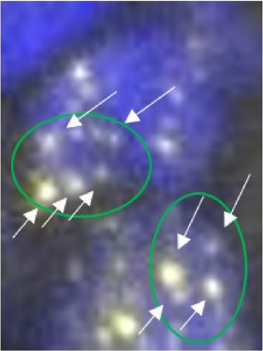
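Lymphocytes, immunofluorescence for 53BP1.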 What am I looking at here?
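Several rounded blue nuclei of small cells lie packed together, and inside them many small bright whitish-yellow dots are scattered through the nucleus. Two nuclei are encircled and carry several such pinpoint dots each, marked by arrows. These are nuclear foci, three or more per nucleus.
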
